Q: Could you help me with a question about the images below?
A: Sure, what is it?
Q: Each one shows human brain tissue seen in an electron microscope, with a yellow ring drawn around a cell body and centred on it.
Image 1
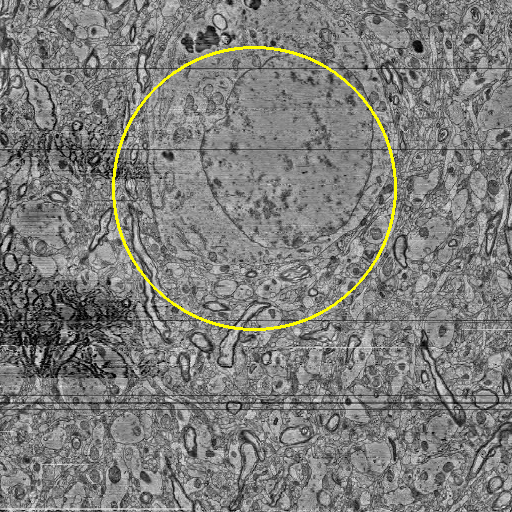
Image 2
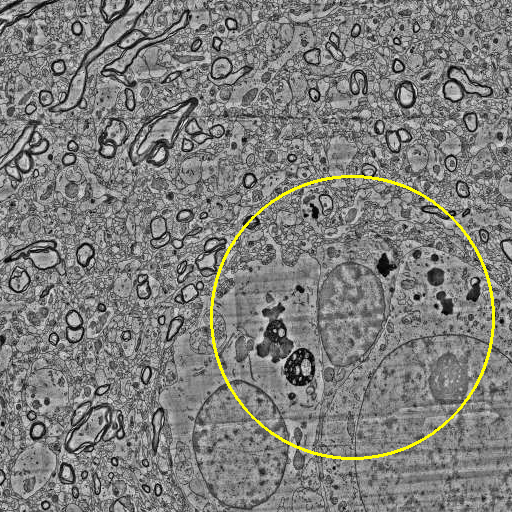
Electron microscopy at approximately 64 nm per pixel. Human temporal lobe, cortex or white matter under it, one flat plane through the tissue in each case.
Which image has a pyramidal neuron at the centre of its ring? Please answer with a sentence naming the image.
Image 1 has it at the centre of its ring.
